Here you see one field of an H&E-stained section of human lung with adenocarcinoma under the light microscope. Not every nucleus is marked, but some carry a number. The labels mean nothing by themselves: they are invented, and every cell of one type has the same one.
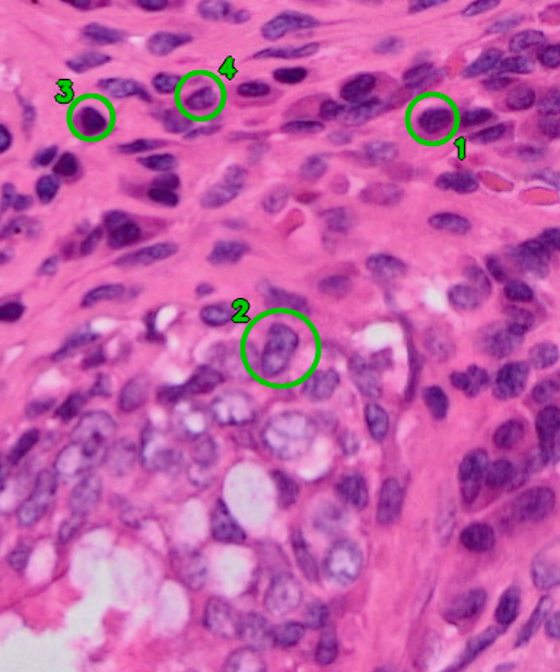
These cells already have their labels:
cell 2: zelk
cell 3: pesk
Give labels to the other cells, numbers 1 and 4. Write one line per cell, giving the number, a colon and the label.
1: pesk
4: pesk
